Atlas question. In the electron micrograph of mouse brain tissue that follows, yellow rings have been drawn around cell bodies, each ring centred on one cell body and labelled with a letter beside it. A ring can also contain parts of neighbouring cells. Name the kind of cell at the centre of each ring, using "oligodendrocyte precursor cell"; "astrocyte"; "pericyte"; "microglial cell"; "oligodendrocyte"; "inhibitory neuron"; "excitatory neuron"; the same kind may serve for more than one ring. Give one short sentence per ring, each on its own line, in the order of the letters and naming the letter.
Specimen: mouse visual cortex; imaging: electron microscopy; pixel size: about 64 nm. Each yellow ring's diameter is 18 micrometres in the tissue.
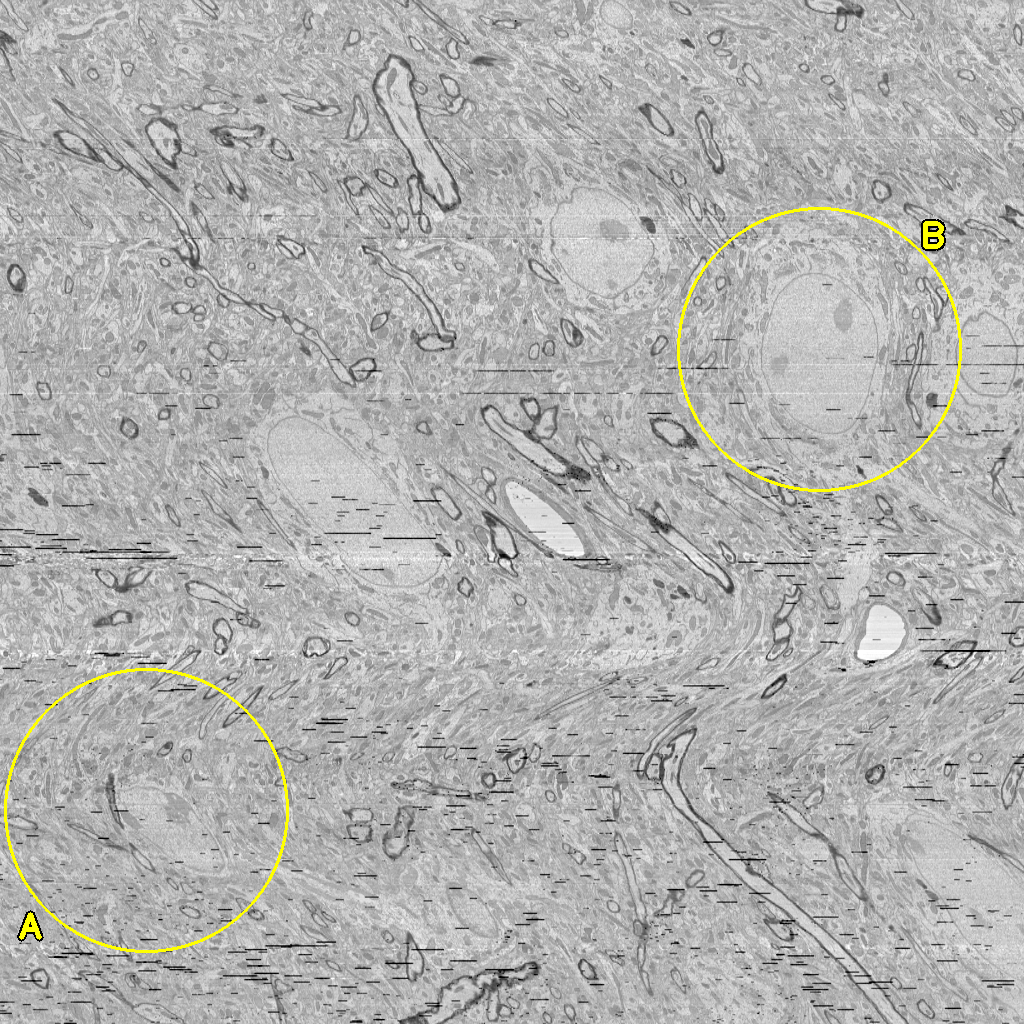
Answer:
For ring A, the cell at the centre is an oligodendrocyte precursor cell.
For ring B, the cell at the centre is an excitatory neuron.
